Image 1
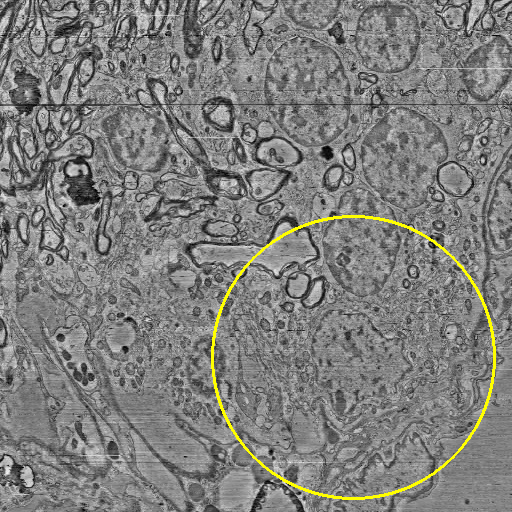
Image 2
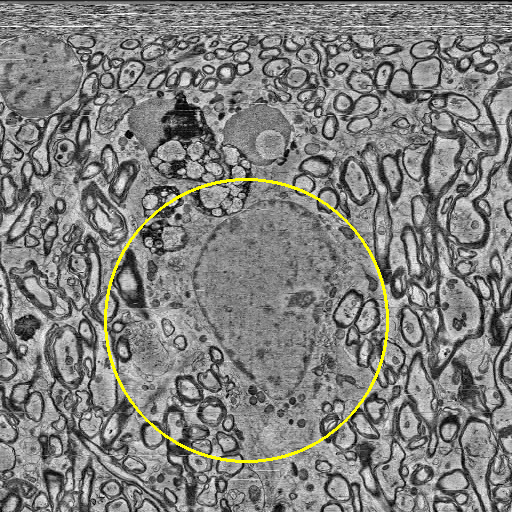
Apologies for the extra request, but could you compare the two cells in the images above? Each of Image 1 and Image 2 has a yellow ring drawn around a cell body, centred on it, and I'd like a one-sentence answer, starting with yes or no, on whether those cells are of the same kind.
Yes, both cells are of the same kind.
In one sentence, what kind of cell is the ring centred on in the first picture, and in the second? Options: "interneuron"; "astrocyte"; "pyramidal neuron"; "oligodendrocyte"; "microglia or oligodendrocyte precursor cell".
The cell in the first picture is an astrocyte, and so is the one in the second.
